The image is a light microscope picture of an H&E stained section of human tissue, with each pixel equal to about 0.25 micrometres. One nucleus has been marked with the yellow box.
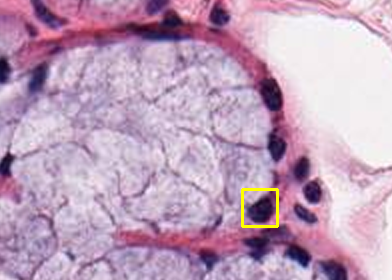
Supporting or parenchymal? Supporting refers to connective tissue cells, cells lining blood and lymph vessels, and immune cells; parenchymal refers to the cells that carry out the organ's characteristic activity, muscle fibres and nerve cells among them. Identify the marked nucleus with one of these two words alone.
parenchymal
